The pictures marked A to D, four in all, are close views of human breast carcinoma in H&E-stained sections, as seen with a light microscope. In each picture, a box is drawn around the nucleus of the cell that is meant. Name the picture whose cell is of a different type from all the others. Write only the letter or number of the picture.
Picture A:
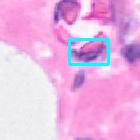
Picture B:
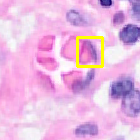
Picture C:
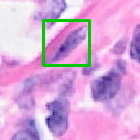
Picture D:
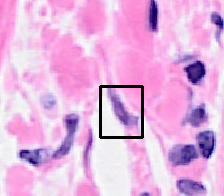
D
